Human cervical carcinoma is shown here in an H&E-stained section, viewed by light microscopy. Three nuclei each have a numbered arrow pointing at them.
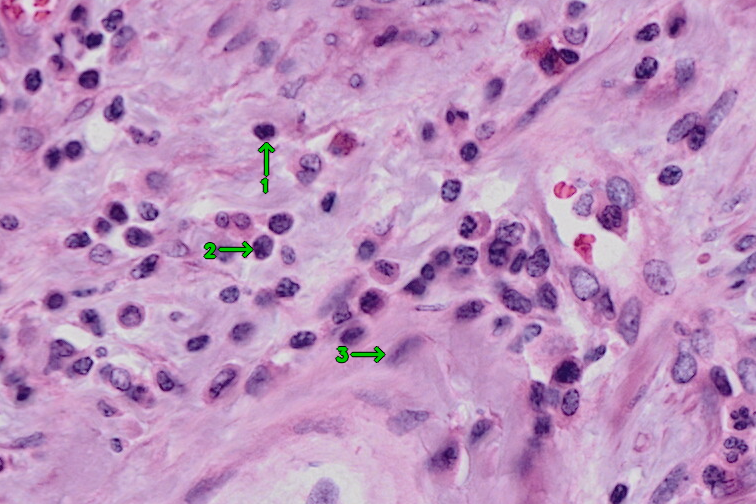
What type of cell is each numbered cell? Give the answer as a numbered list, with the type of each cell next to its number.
1. lymphocyte
2. lymphocyte
3. fibroblast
